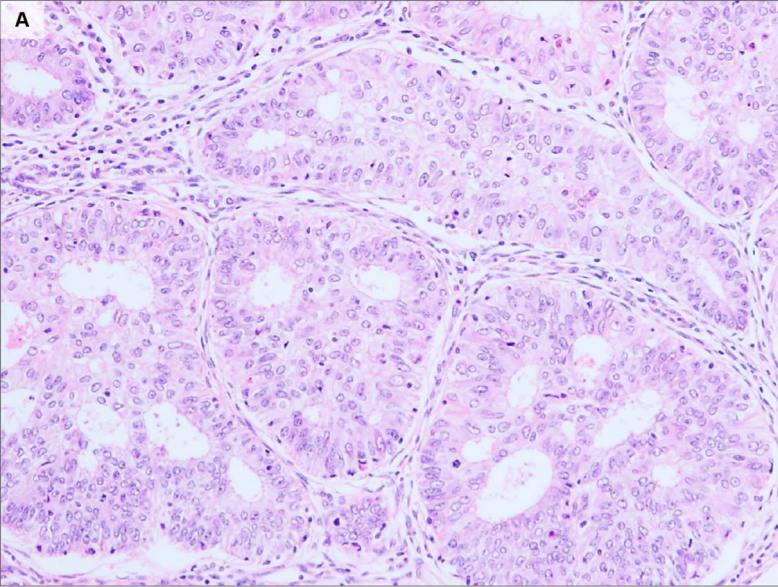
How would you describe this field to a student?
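This section shows infiltrating tumor in a cribriform pattern, with large fused glands set in thin bands of stroma. Each rounded epithelial nest is perforated by several round to oval lumina, some containing pale pink secretion, without stroma between them. The tumor cells are columnar to polygonal with pink cytoplasm and oval, vesicular nuclei, some with visible nucleoli, crowded and arranged around the lumina. The surrounding stroma consists of narrow fibrous bands with elongated spindle-shaped nuclei and scattered small dark inflammatory cells.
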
